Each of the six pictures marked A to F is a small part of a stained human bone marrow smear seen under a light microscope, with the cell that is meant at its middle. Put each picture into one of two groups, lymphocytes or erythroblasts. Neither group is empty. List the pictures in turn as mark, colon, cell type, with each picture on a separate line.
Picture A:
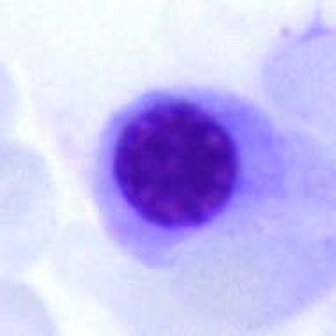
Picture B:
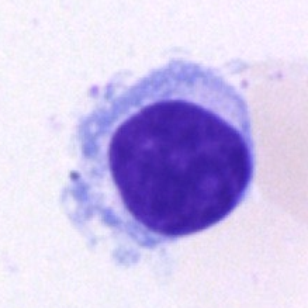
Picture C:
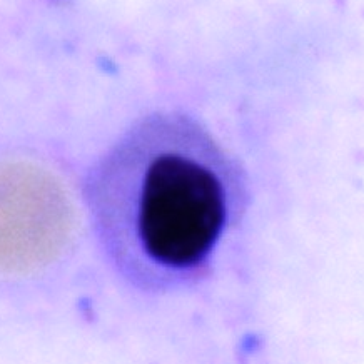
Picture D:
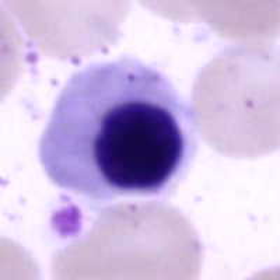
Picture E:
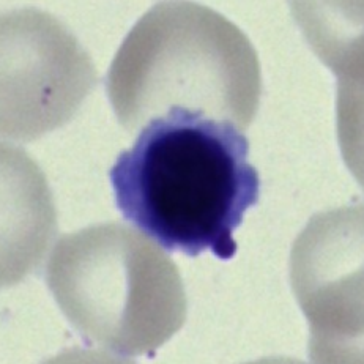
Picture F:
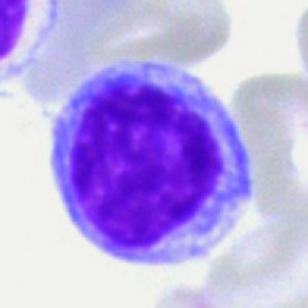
A: erythroblast
B: lymphocyte
C: erythroblast
D: erythroblast
E: erythroblast
F: lymphocyte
